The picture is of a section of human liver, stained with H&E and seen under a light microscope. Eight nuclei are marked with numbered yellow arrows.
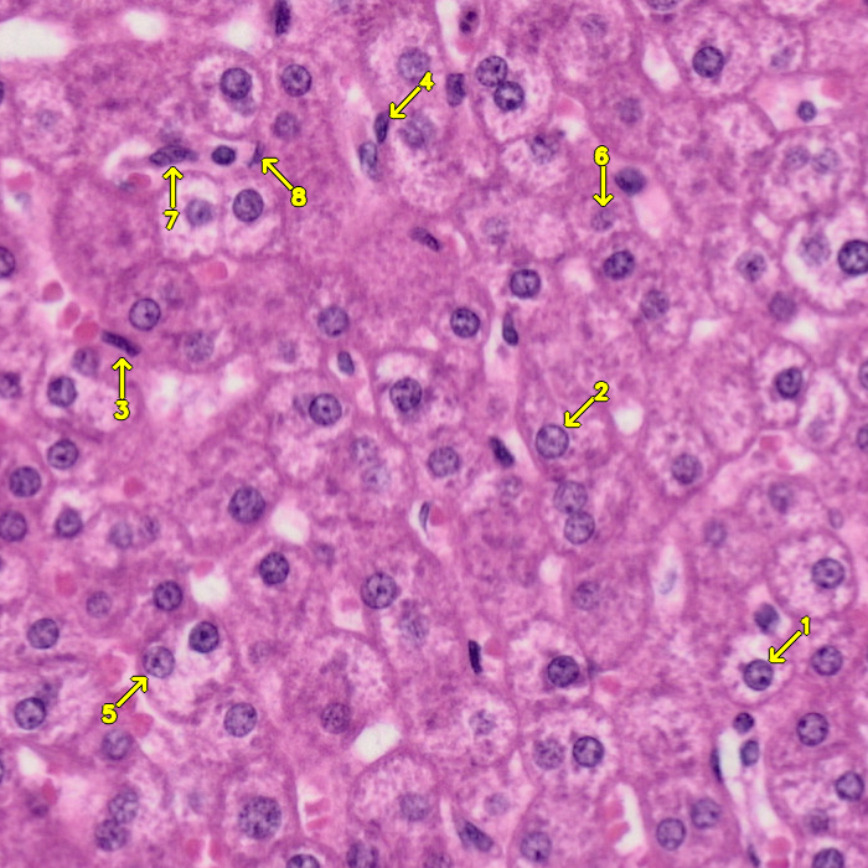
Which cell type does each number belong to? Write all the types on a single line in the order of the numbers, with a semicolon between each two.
hepatocyte; hepatocyte; fibroblast or stellate cell; fibroblast or stellate cell; hepatocyte; hepatocyte; Kupffer cell; endothelial cell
